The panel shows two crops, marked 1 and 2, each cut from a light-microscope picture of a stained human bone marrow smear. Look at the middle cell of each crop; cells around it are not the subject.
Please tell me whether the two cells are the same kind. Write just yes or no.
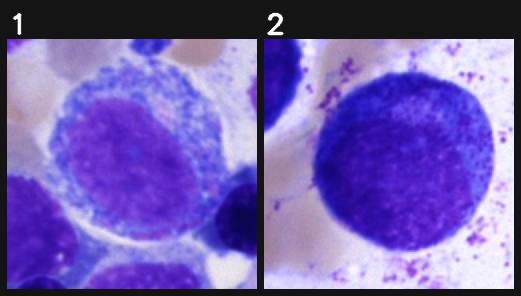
yes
